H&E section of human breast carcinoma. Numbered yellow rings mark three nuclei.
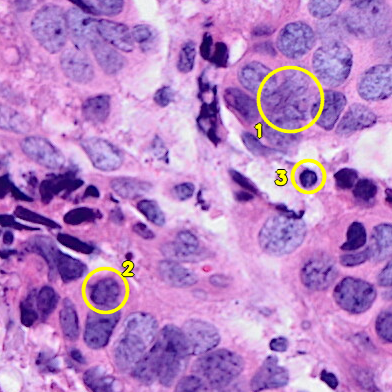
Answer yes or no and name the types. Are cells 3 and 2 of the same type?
No, cell 2 is a carcinoma cell, but cell 3 is a lymphocyte.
